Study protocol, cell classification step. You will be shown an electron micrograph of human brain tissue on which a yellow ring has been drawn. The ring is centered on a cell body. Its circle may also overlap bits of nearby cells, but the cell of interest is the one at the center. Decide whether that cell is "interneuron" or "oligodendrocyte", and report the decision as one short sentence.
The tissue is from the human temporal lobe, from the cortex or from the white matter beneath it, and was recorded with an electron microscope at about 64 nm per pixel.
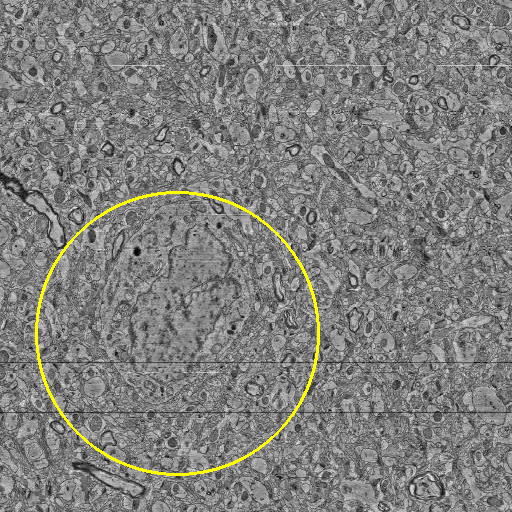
The marked cell is an interneuron.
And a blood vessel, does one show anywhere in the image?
No, no vessel appears in the picture.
